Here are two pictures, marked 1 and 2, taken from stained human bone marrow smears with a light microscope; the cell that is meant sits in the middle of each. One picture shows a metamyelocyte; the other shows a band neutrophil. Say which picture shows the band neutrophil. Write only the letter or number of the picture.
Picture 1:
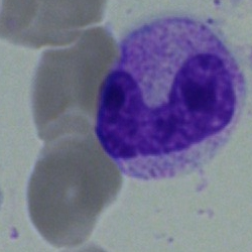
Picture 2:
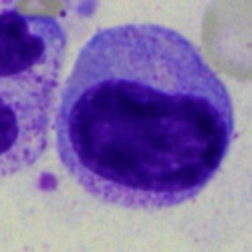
1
